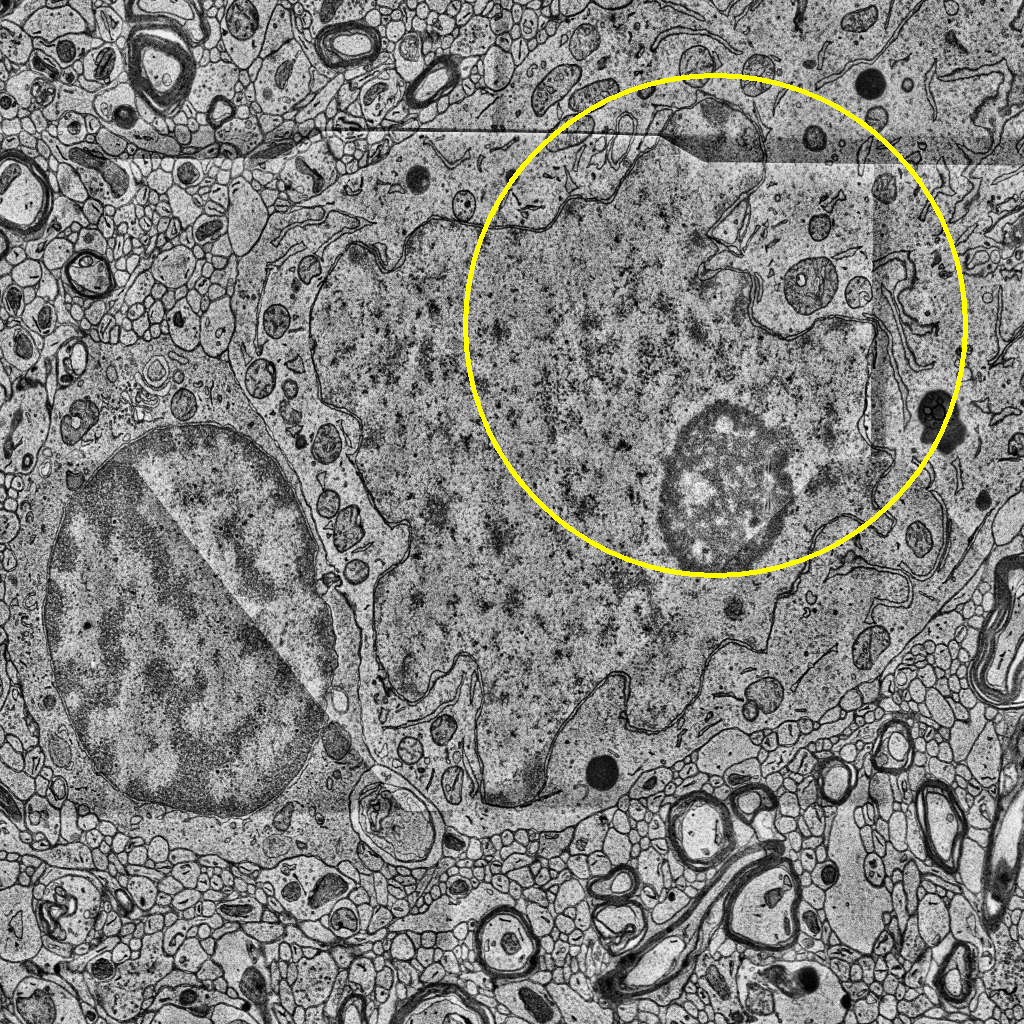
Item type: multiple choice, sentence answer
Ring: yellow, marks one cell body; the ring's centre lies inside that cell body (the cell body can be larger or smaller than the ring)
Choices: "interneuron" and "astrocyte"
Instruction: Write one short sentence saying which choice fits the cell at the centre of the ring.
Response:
The centre of this ring lies on an interneuron.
